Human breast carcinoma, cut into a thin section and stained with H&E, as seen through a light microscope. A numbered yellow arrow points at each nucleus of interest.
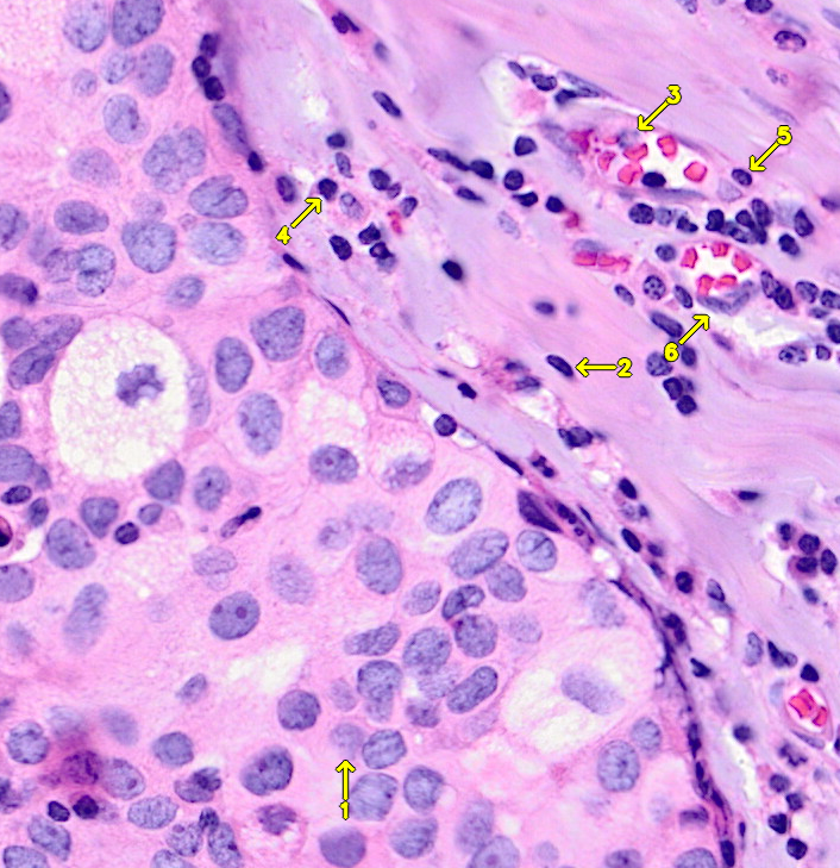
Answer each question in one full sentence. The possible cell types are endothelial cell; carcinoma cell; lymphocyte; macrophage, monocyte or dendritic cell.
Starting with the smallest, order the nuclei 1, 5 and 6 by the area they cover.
From smallest to largest, the order is 5, 6, 1.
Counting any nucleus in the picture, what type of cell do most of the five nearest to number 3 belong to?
Around number 3, most of the five nearest nuclei are those of endothelial cells.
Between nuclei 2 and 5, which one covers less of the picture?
With nucleus 2 about 1.5 times its size, nucleus 5 is the smaller of the two.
